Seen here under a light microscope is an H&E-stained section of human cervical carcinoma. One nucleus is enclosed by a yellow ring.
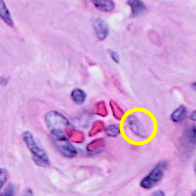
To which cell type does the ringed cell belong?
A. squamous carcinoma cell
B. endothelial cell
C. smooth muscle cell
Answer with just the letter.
B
